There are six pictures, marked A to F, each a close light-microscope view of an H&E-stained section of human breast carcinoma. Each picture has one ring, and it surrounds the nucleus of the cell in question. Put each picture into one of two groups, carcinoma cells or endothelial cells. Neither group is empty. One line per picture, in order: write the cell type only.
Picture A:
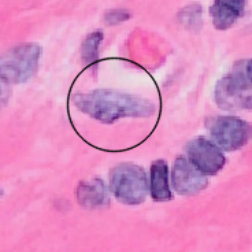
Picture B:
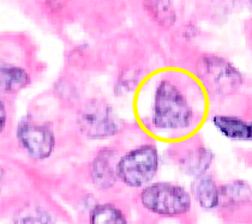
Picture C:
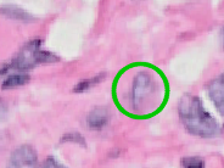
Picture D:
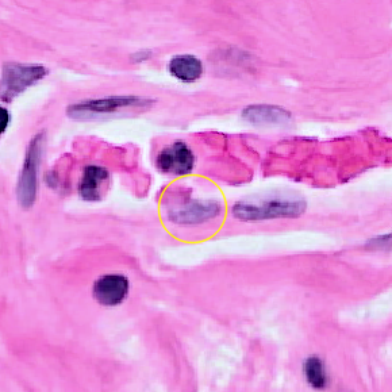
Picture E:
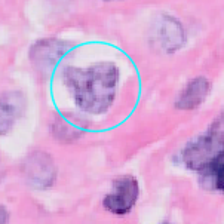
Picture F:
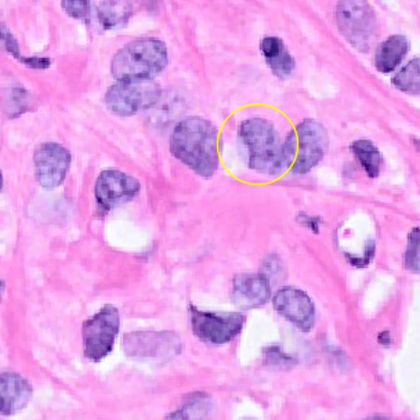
endothelial cell
carcinoma cell
endothelial cell
endothelial cell
carcinoma cell
carcinoma cell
